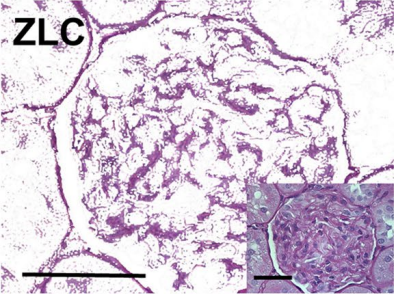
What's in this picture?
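This is a glomerulus from the kidney cortex, a round tuft of capillary loops within its capsule. The pink-stained material in the tuft forms fine, branching strands with many open, pale capillary spaces between them. A thin pink capsule line encircles the tuft, with a clear space in between. Rounded tubule profiles lie outside the capsule at the corners of the field.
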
